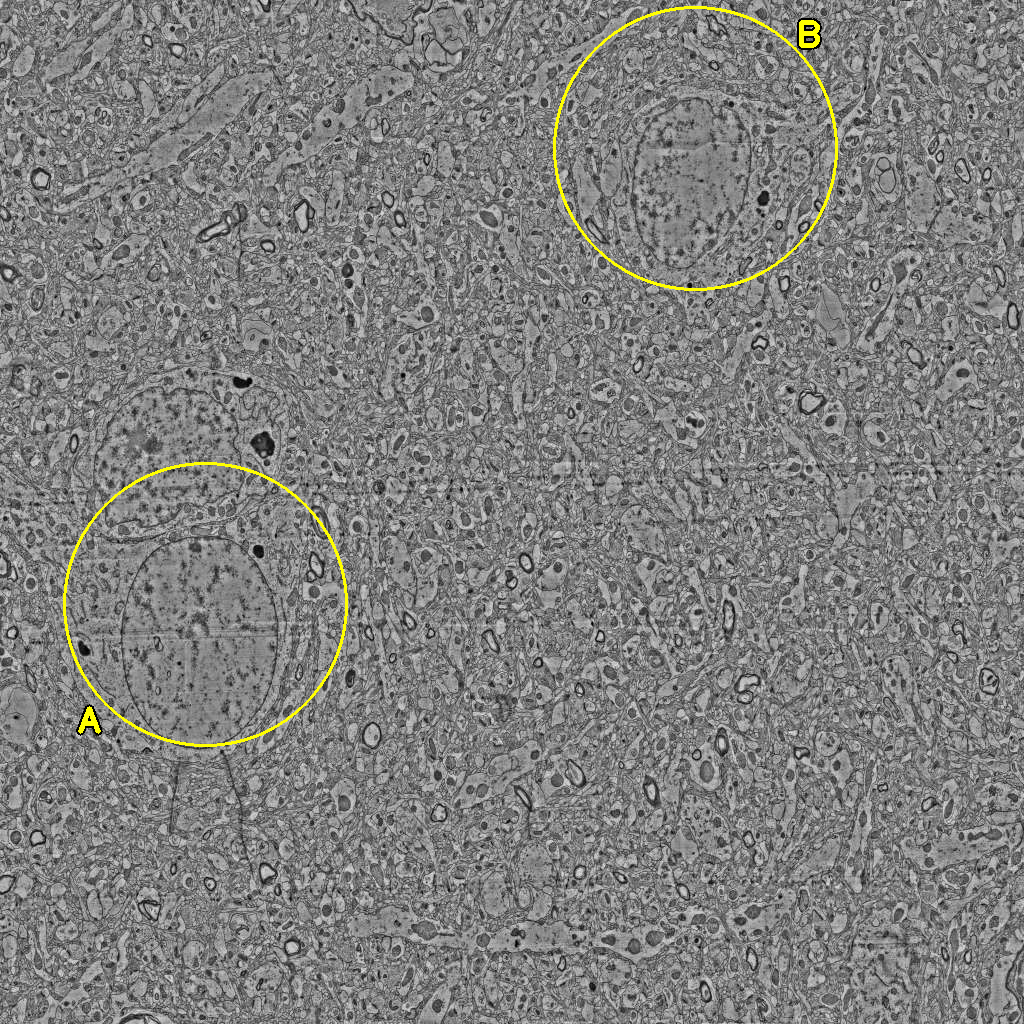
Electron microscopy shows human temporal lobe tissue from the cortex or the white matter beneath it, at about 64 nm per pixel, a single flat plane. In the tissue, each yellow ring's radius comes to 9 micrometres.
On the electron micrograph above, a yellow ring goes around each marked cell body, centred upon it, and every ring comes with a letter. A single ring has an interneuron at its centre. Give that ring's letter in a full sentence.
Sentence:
The ring holding the cell asked for at its centre bears the letter B.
